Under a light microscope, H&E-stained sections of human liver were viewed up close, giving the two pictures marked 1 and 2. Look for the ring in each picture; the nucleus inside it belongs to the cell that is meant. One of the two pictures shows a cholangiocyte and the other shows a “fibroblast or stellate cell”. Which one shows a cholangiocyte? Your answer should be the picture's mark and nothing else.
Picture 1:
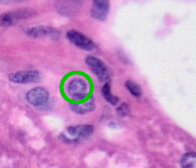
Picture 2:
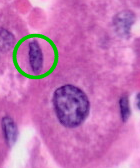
1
